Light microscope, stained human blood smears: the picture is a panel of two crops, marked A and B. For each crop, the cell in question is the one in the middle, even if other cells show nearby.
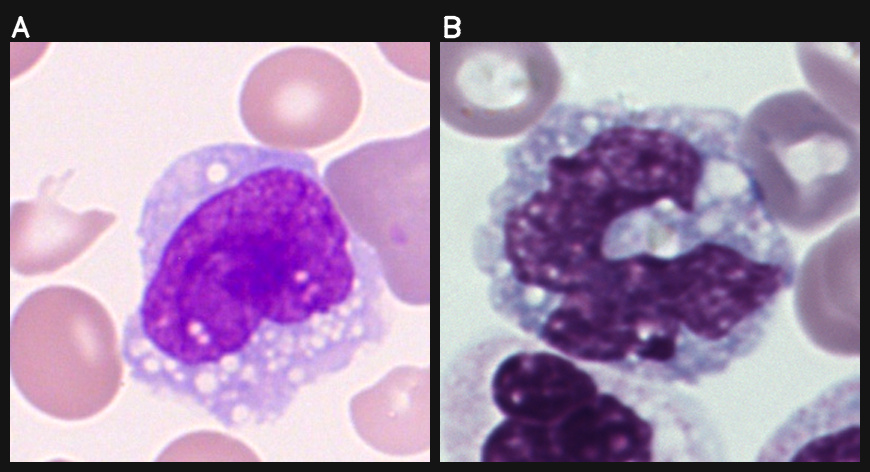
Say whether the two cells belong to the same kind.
yes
